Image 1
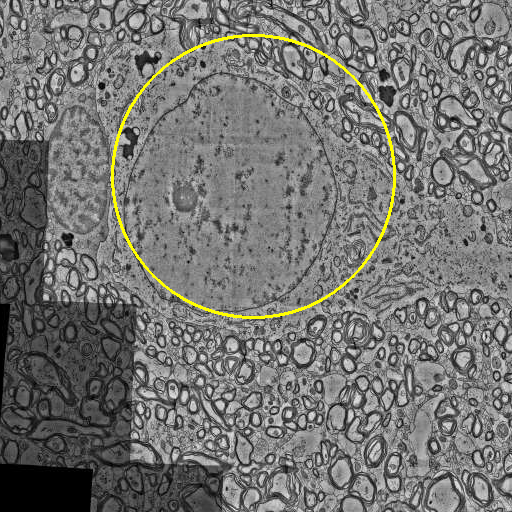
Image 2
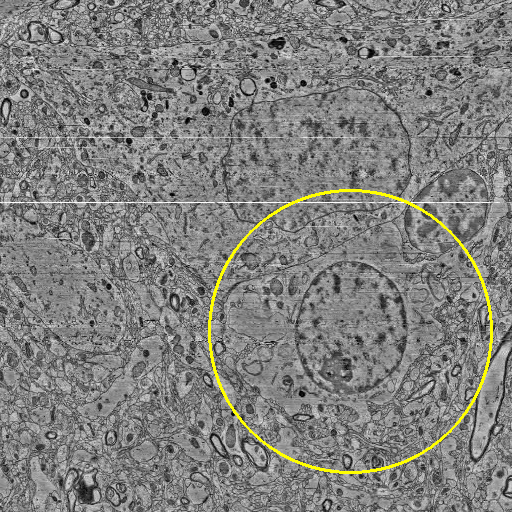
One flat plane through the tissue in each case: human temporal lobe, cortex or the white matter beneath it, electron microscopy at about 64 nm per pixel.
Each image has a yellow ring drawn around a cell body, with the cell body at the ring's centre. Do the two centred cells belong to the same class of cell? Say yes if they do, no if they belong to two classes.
no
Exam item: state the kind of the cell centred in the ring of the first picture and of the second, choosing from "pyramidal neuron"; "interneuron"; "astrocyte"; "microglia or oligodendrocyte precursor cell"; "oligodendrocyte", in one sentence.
The first picture shows a pyramidal neuron at the ring centre and the second shows an astrocyte.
